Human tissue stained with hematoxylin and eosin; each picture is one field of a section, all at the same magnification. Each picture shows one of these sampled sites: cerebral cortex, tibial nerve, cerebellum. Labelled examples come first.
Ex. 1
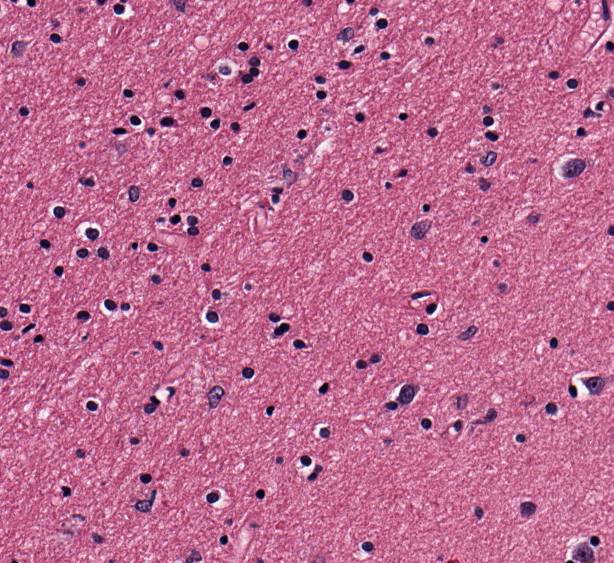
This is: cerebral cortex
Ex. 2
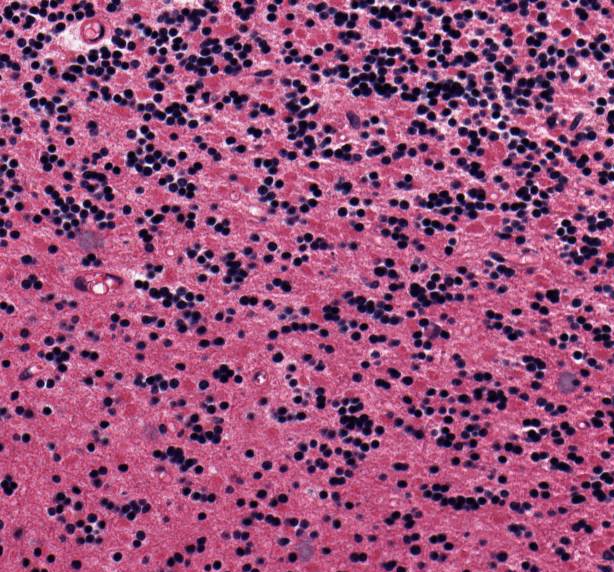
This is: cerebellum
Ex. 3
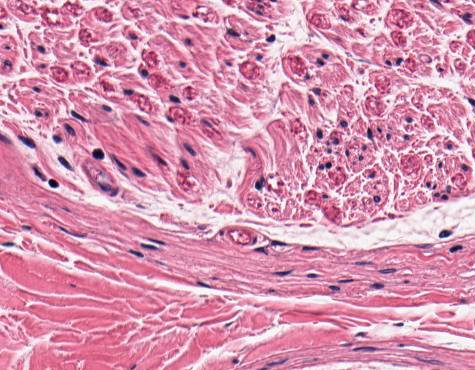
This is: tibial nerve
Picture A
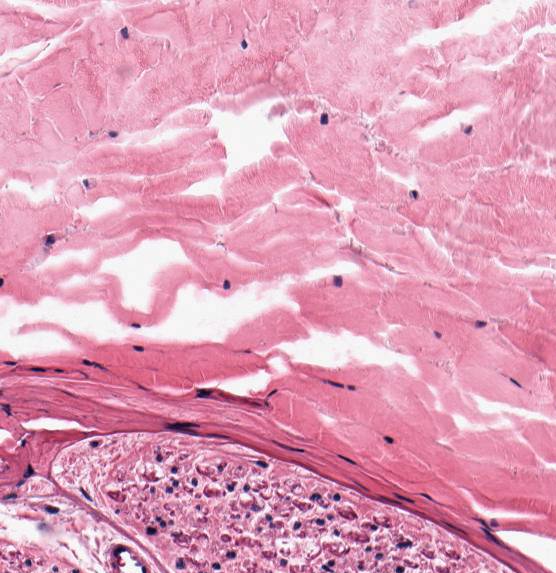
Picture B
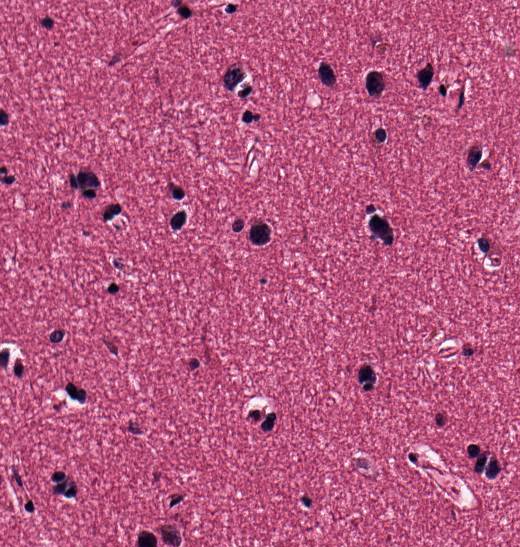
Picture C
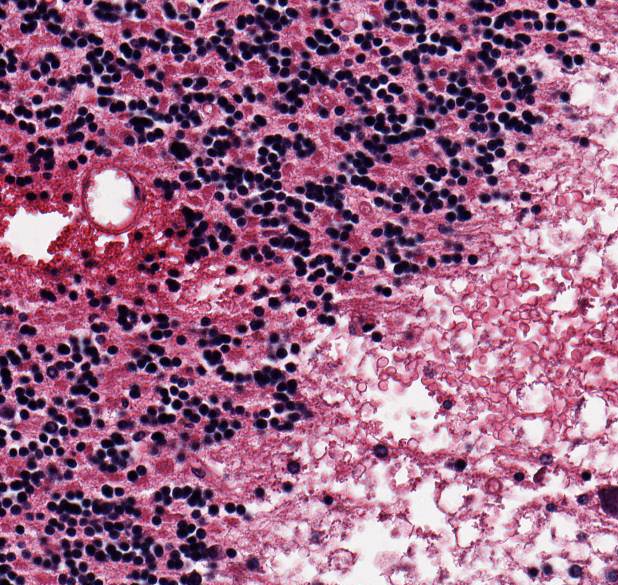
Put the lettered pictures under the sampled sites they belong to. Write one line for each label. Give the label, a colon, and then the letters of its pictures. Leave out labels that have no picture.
cerebral cortex: B
tibial nerve: A
cerebellum: C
